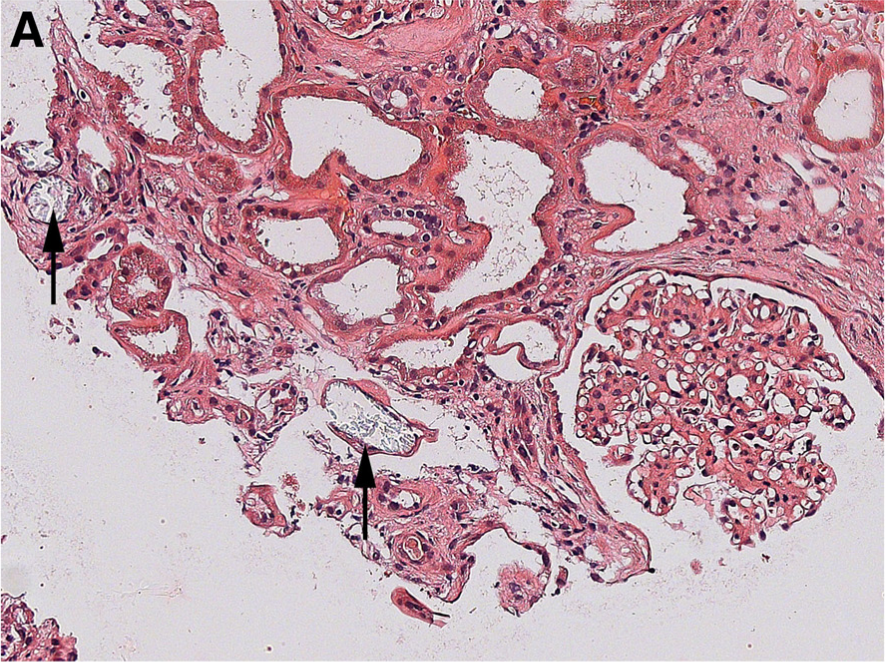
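This is kidney cortex, with a glomerulus on the right and many tubules, some of them dilated, lined by pink epithelial cells with dark round nuclei. Inside some tubular lumens lies pale, glassy, faceted crystalline material that barely takes up the stain. The glomerulus shows pink matrix widened between its capillary loops.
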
